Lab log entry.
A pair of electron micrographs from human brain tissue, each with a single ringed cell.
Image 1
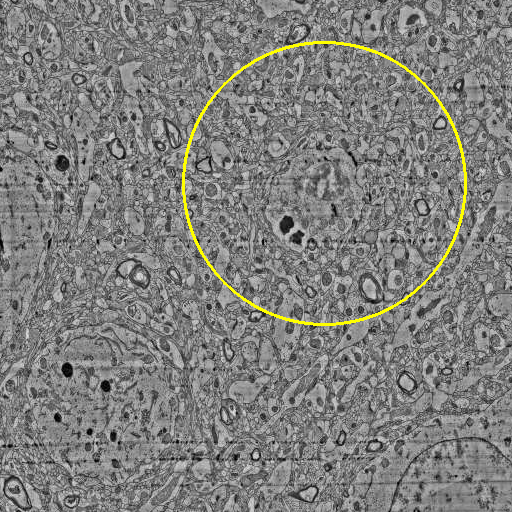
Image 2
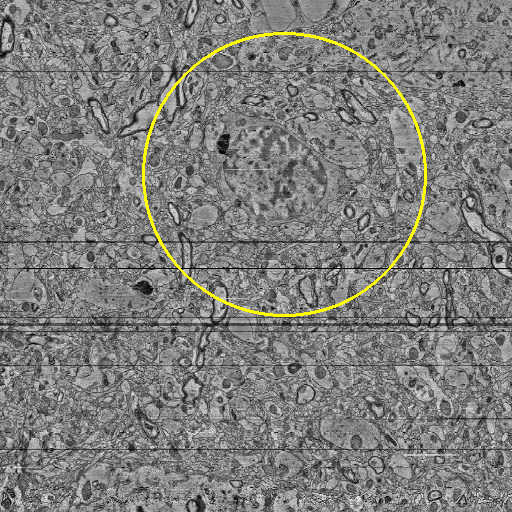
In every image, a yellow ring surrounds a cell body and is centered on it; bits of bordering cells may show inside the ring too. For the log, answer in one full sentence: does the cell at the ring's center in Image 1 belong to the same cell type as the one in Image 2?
No, the cells at the ring centers in Image 1 and Image 2 are of separate types.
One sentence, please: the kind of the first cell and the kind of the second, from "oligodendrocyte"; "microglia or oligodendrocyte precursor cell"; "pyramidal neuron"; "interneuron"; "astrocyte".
The ring in the first picture surrounds an interneuron, and the ring in the second surrounds an oligodendrocyte.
